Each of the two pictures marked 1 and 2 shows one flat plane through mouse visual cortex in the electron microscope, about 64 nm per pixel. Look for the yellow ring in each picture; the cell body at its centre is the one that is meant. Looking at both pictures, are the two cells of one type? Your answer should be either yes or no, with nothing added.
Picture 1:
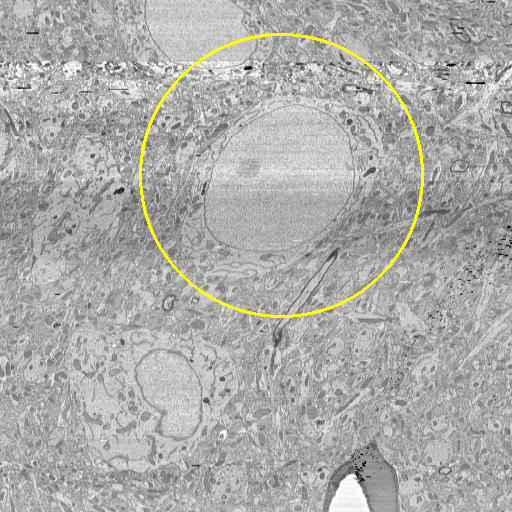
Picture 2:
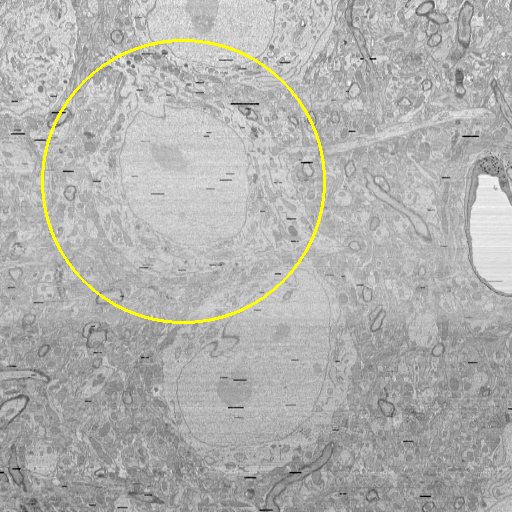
no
